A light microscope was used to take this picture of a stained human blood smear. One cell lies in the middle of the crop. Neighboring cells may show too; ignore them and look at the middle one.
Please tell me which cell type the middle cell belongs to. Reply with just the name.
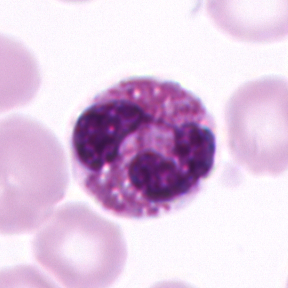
eosinophil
